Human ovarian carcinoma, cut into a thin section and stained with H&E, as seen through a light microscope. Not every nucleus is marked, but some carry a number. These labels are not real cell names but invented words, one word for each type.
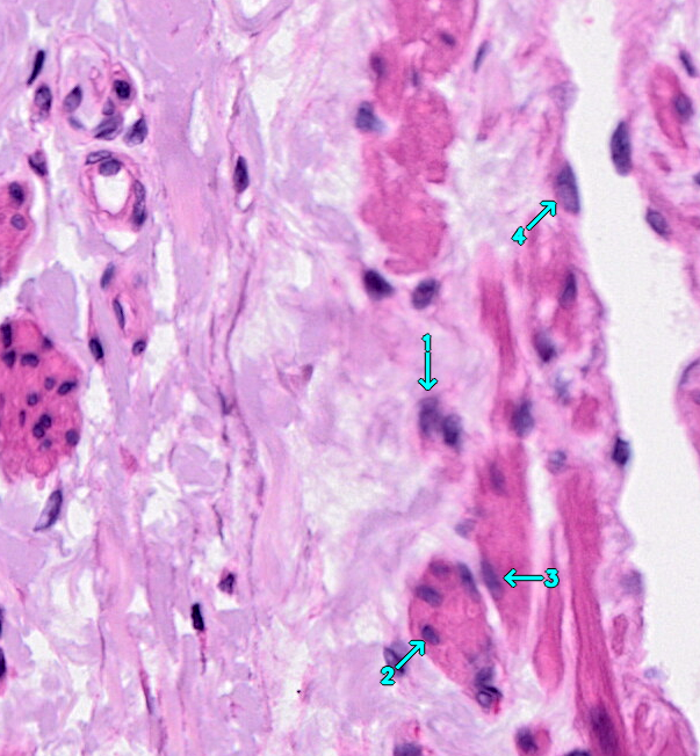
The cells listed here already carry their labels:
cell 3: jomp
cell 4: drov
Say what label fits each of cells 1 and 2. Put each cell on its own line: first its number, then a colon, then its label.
1: drov
2: jomp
